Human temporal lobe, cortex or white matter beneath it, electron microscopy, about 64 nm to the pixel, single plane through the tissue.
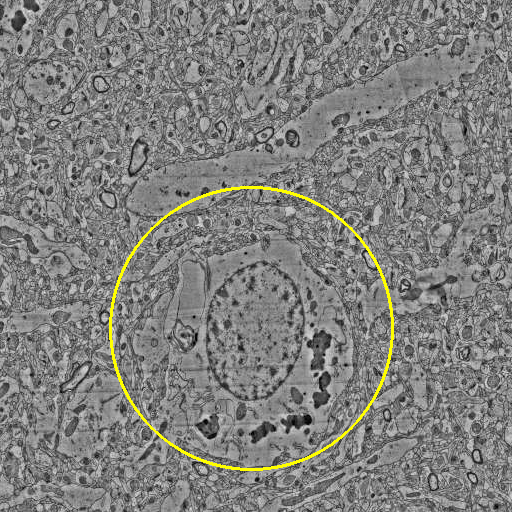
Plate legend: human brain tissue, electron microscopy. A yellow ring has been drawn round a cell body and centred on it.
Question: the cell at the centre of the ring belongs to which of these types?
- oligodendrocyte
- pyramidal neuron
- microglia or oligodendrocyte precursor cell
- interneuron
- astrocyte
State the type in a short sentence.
The cell in the middle of the ring is an astrocyte.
